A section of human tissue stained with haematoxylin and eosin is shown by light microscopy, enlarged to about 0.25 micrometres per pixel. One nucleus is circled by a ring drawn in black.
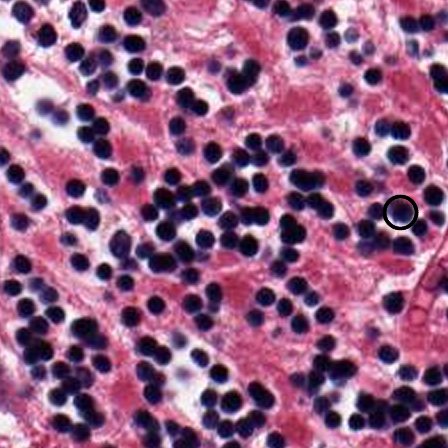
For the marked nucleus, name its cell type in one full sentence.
The cell to which the marked nucleus belongs is a cerebellar granule cell.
